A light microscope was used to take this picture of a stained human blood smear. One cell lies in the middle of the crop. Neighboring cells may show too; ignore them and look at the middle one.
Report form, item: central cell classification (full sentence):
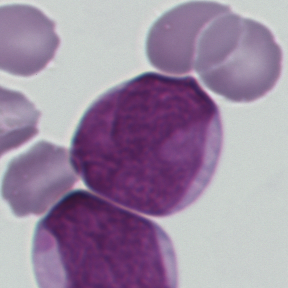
In the middle of this smear crop, the cell is a blast.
